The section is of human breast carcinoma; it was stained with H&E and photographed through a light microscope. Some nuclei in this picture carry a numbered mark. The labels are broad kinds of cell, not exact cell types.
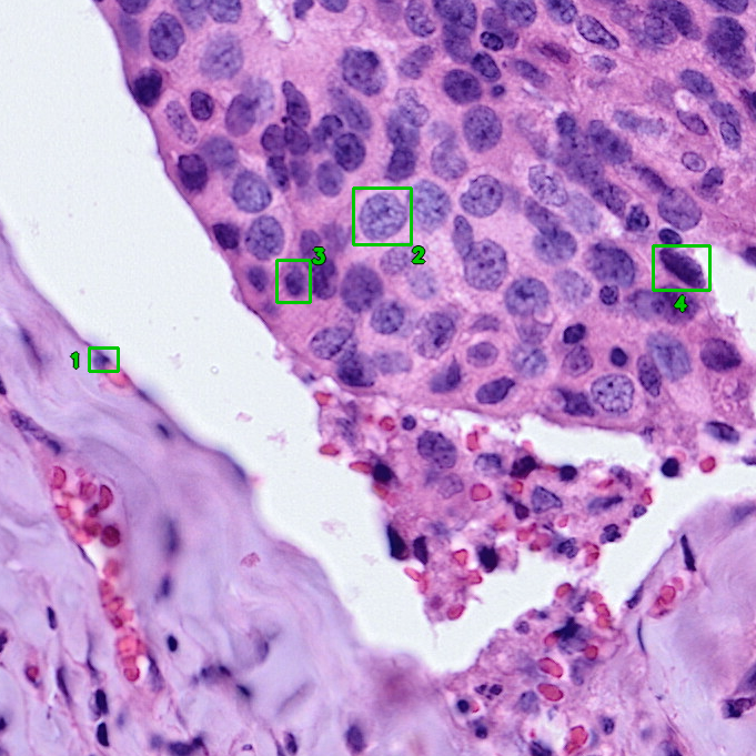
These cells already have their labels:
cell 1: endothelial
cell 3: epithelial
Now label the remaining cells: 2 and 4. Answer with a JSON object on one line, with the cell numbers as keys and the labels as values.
{"2": "epithelial", "4": "epithelial"}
